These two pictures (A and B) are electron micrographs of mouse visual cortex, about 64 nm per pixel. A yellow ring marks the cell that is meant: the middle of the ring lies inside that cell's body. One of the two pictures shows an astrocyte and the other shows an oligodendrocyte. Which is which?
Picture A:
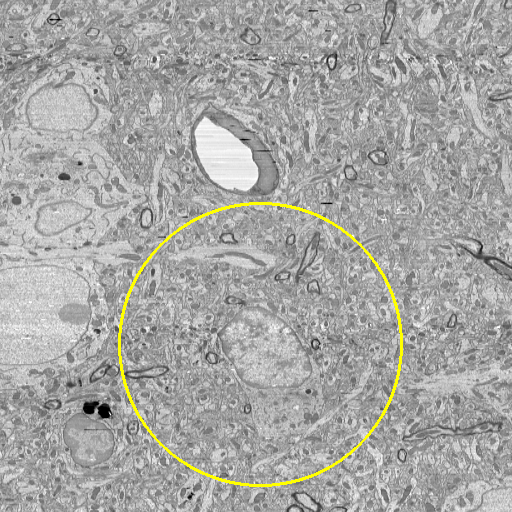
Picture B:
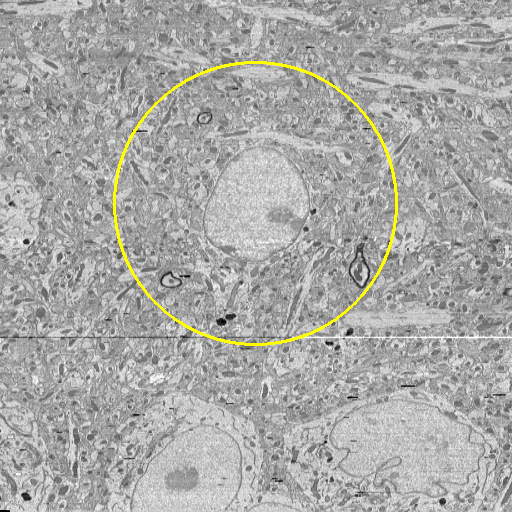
Picture B shows an astrocyte, while picture A shows an oligodendrocyte.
